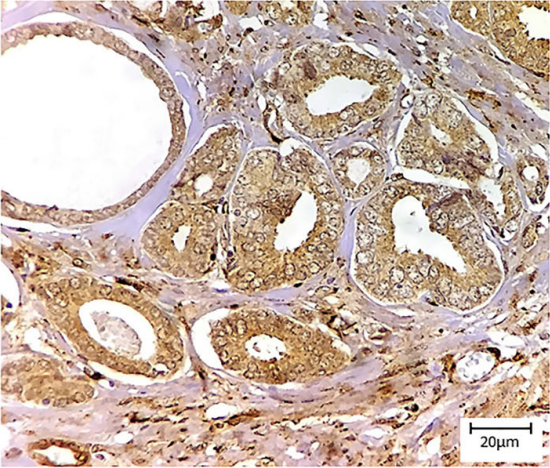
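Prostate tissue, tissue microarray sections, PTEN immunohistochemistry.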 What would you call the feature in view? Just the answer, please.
Loose glands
